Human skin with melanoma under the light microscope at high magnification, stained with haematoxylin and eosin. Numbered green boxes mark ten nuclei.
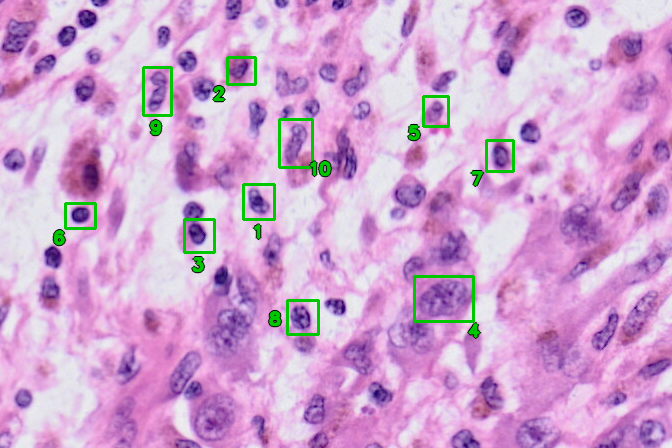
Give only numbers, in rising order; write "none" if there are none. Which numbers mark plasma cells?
none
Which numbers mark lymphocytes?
1, 3, 6, 8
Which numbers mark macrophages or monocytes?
2, 5, 7, 9, 10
